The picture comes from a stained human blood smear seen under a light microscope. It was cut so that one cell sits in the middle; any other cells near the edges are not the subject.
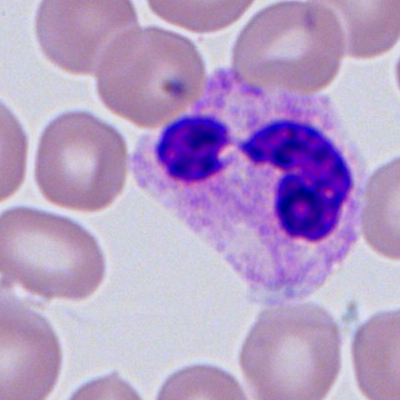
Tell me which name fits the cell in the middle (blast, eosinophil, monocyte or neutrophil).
neutrophil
